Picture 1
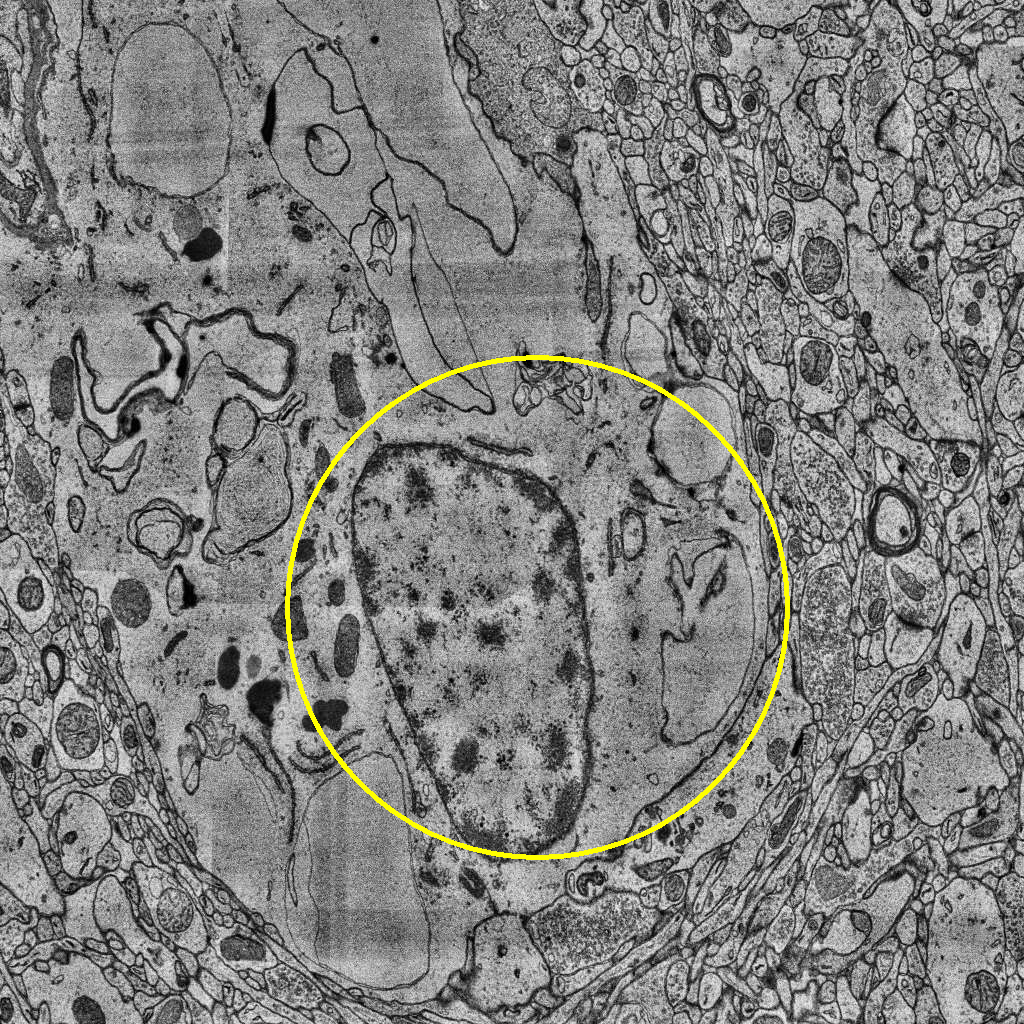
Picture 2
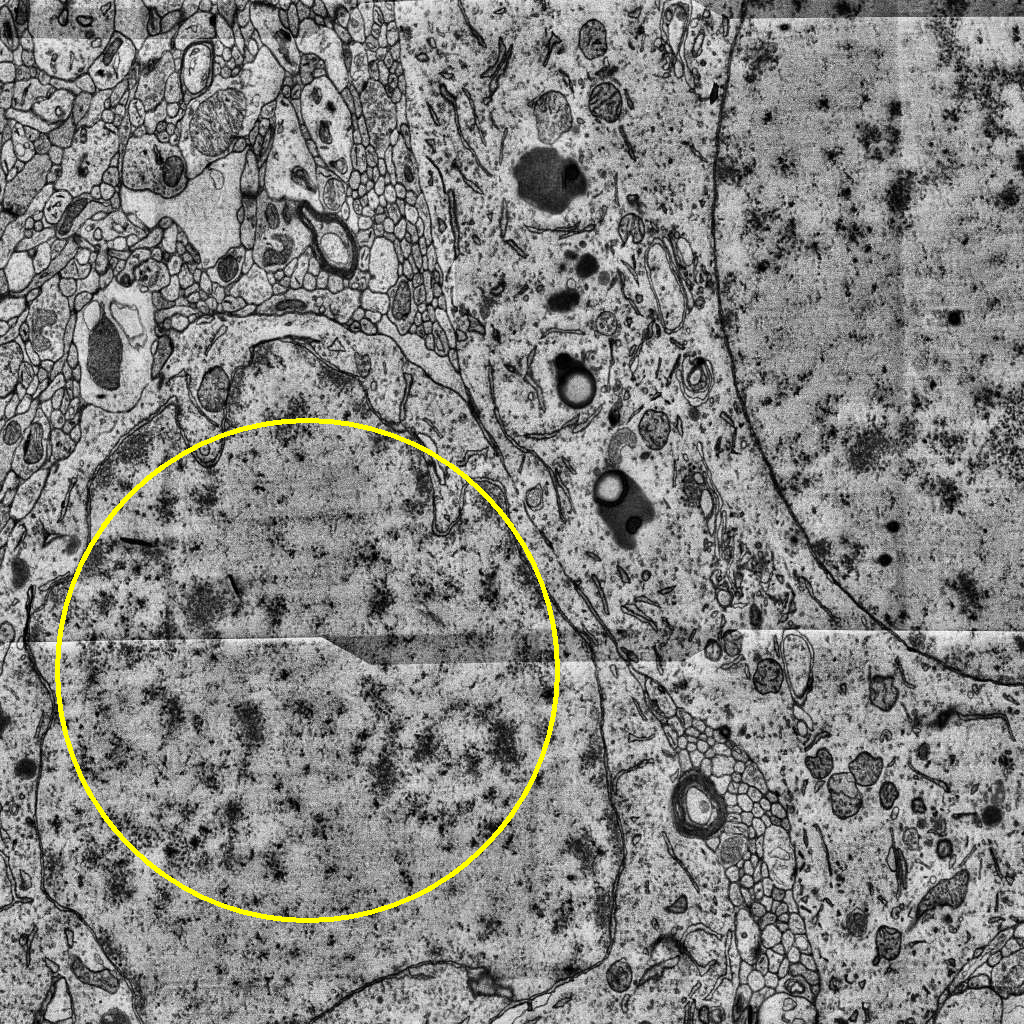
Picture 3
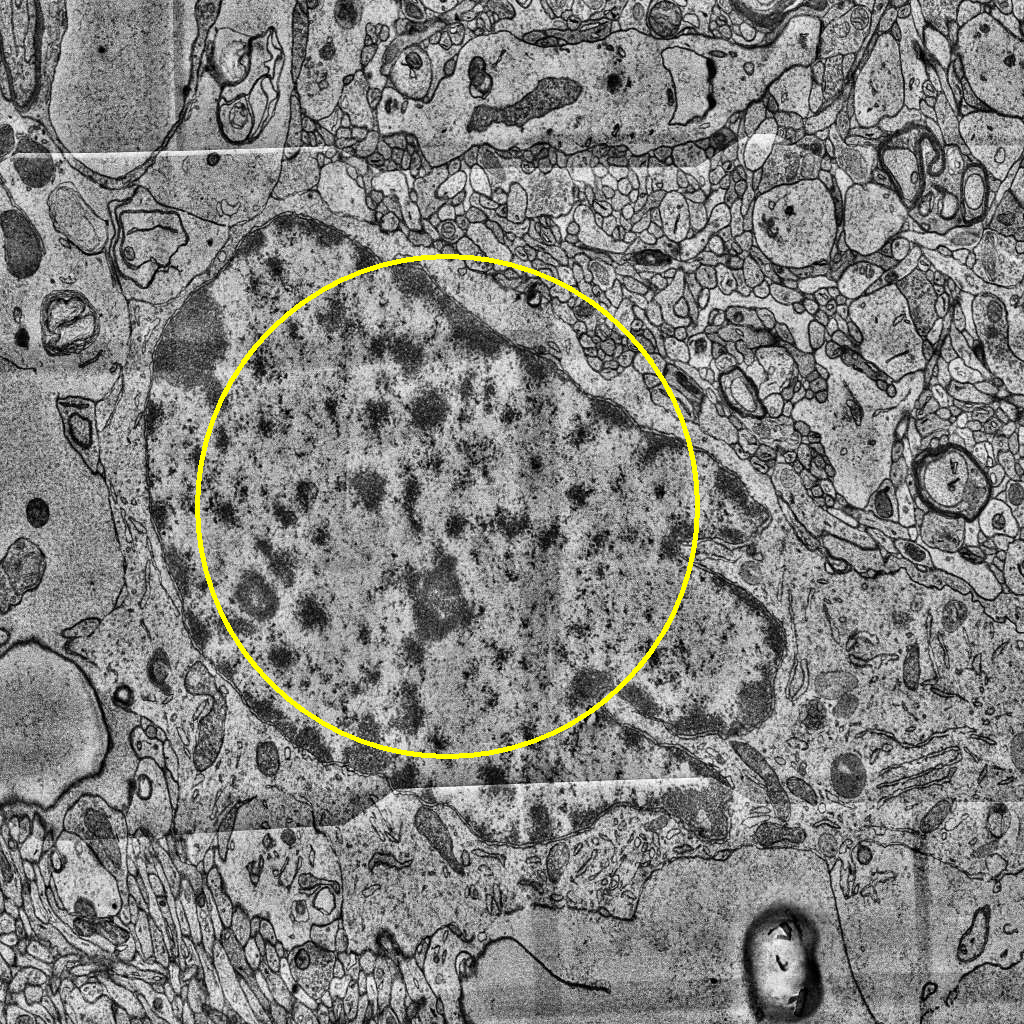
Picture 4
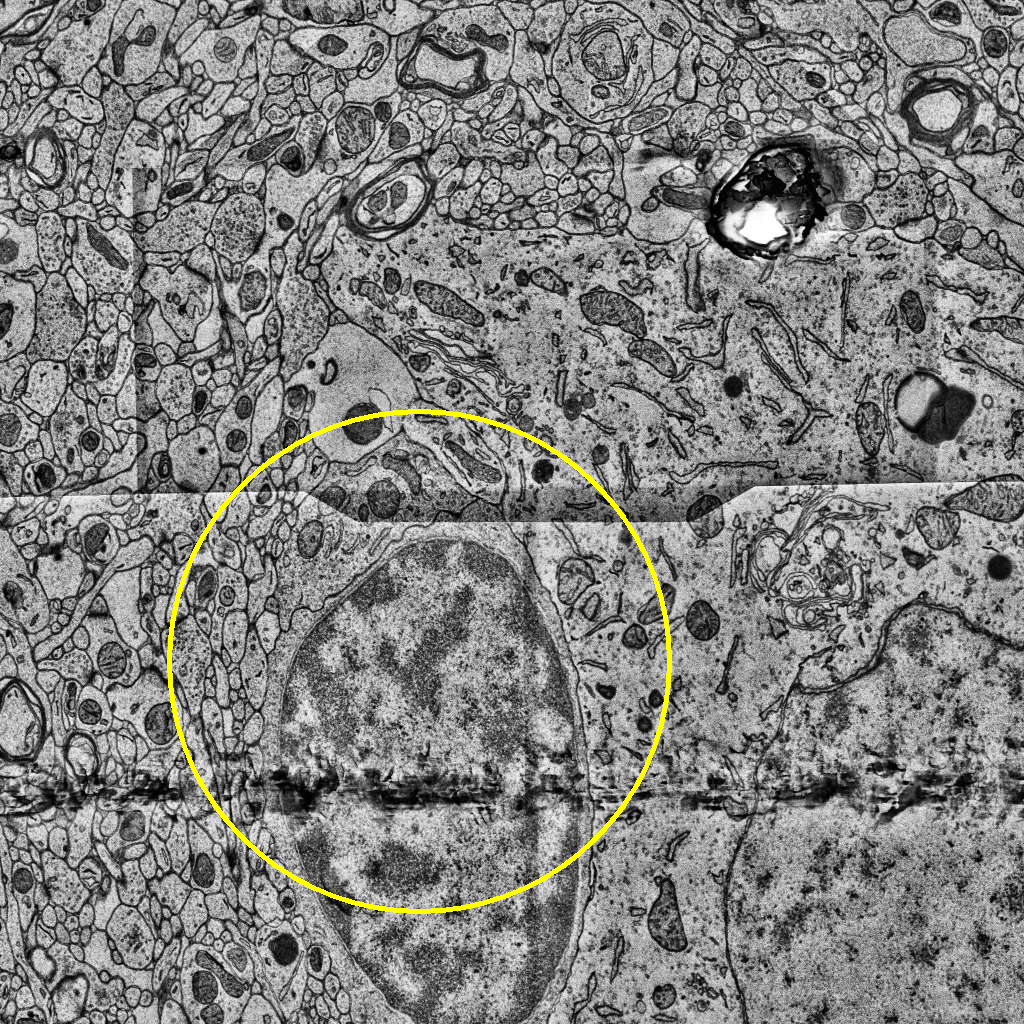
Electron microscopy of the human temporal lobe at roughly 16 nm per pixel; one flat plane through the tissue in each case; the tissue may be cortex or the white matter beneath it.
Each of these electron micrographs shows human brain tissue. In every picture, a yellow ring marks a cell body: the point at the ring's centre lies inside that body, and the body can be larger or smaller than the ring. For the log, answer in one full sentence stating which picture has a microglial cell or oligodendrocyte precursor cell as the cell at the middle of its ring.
In picture 3, the centre of the yellow ring lies inside the requested cell.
